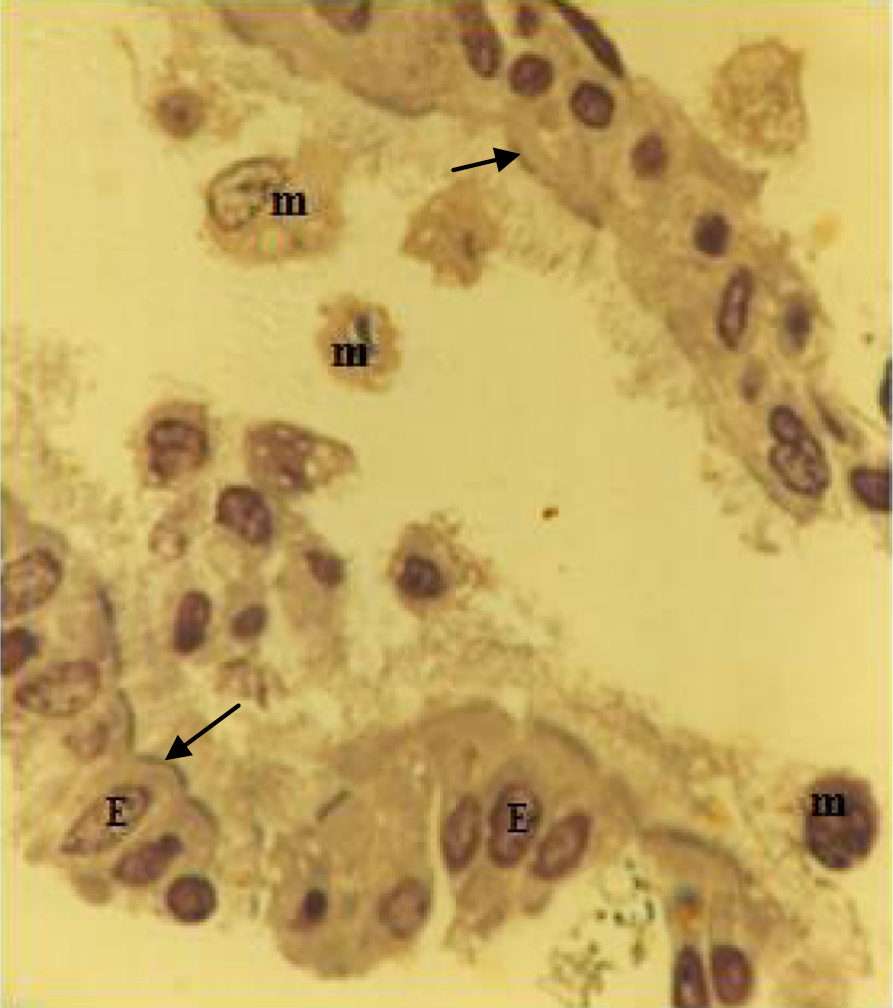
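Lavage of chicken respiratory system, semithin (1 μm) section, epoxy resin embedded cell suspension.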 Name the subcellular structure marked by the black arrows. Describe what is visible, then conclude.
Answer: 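A fine fringe of hair-like projections lines the free edges of the cell sheets. The arrows point to the borders of the cell sheets. So: cilia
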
